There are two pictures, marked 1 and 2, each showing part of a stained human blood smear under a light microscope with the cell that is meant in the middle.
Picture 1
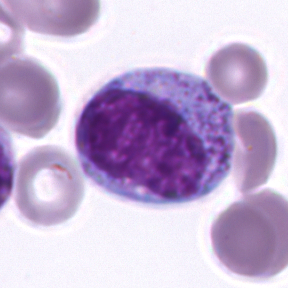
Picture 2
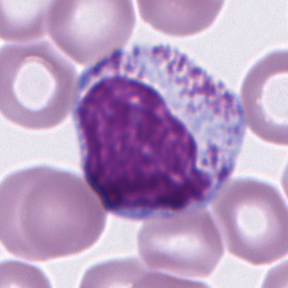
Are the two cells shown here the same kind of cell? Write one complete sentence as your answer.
No, they differ: the cell is a metamyelocyte in picture 1 and a myelocyte in picture 2.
